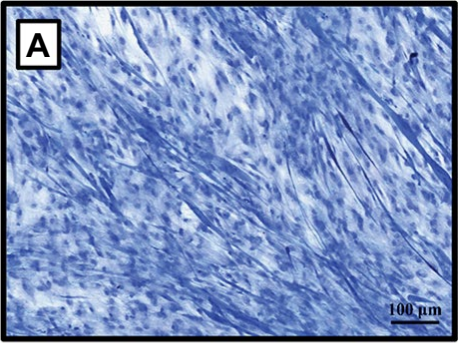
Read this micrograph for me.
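Here a culture of muscle cells shows elongated, darkly blue myotubes lying among many smaller cells. In places the field is pale, where the cell layer is sparse.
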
